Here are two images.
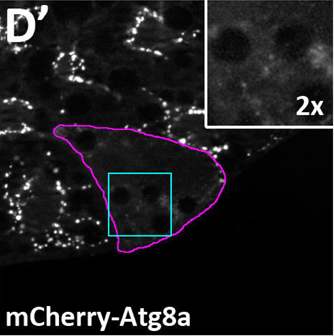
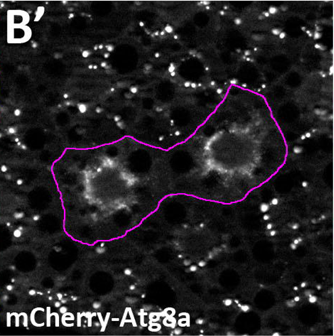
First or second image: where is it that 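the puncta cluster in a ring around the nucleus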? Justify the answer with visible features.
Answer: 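First image: inside the magenta outline the puncta are faint and spread, with no ring around a nucleus. Second image: inside the magenta outline bright puncta form rings around dark nuclear areas. On this evidence: the second image.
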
